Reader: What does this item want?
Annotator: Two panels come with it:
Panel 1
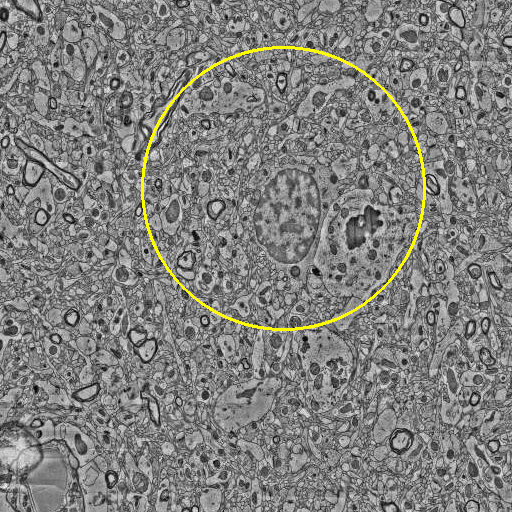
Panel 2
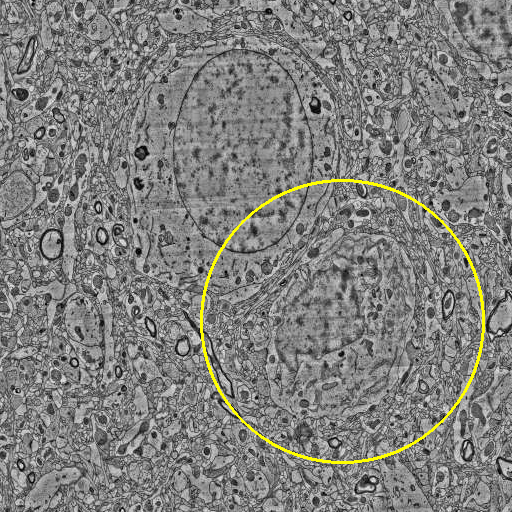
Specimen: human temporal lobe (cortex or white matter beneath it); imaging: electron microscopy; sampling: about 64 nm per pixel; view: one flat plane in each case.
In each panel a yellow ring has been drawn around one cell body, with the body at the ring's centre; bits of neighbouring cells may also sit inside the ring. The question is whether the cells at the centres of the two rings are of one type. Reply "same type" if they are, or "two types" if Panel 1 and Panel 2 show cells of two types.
two types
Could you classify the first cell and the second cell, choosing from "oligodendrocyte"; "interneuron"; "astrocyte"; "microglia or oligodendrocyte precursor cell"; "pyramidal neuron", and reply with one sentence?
The second cell is an interneuron, while the first is an oligodendrocyte.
